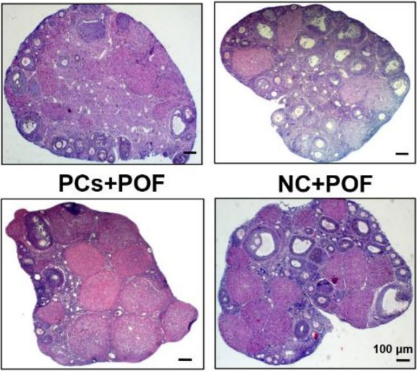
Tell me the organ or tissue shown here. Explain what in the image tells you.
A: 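Large solid pink-stained rounded masses lie among the cavities. Small round structures with a central cell sit near the outer edge.
Answer: ovaries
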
